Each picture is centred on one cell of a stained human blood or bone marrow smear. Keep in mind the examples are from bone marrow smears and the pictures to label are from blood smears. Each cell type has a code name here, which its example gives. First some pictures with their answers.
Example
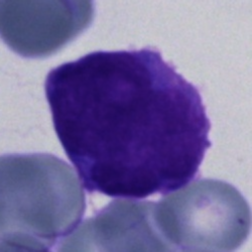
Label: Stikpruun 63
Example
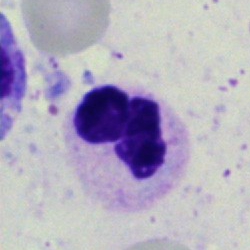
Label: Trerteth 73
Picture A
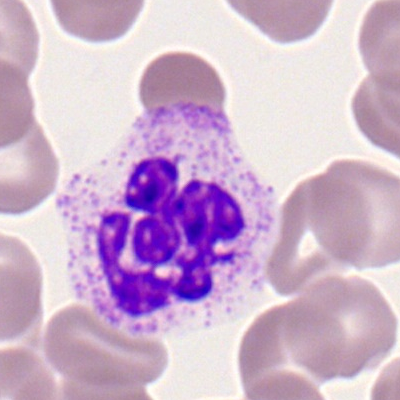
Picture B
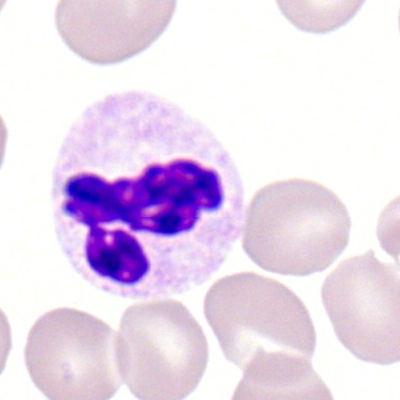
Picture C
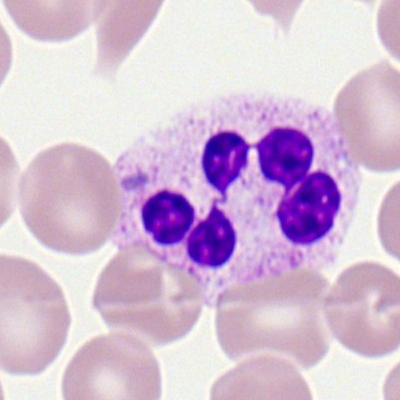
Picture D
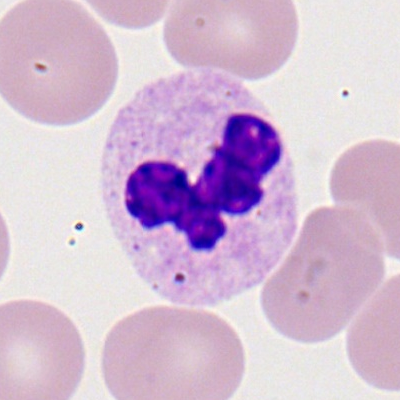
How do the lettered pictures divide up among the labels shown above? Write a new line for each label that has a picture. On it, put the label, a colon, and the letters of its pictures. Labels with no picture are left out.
Trerteth 73: A, B, C, D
